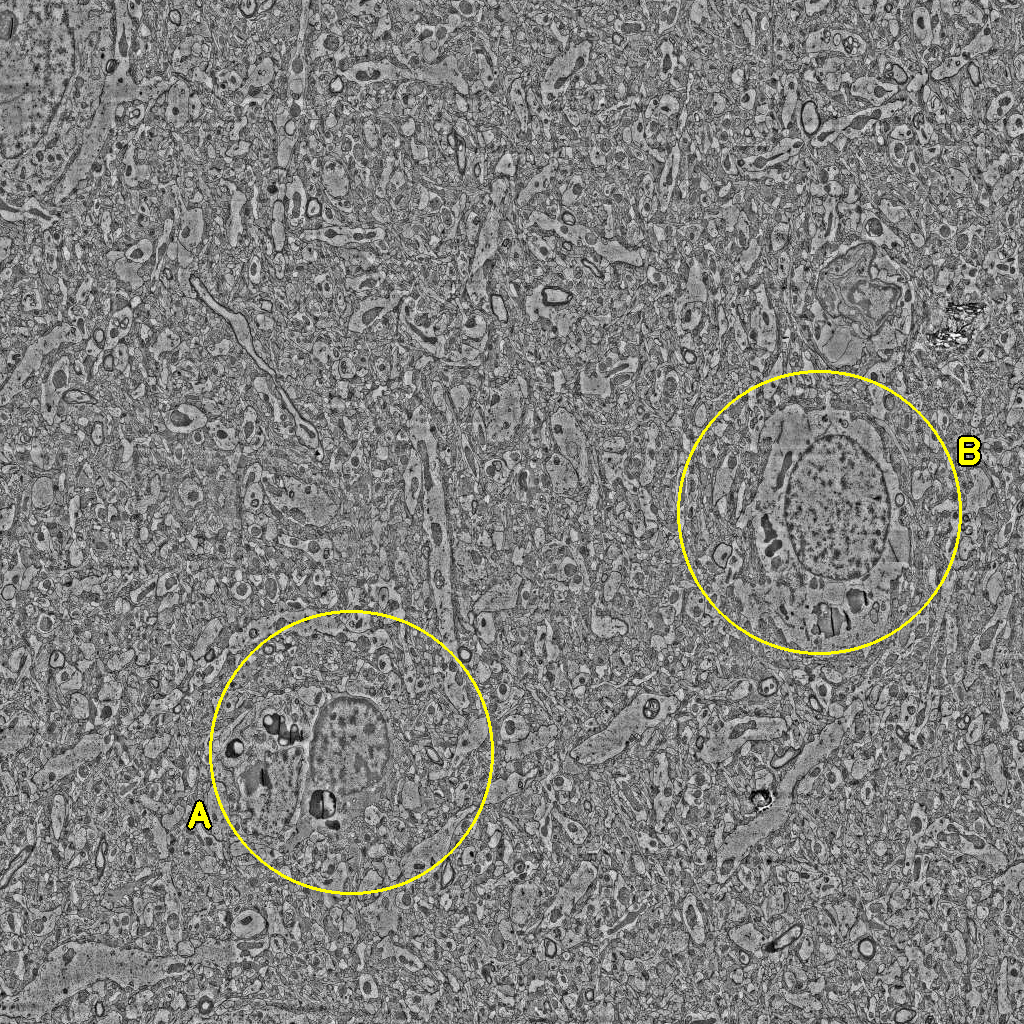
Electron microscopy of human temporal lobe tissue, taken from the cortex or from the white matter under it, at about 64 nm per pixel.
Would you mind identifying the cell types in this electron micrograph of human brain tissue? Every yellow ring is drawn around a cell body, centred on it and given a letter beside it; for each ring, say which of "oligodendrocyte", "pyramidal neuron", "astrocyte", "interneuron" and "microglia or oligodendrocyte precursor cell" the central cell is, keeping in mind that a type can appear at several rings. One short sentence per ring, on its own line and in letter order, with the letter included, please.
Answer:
At the centre of ring A lies an oligodendrocyte.
At the centre of ring B lies an astrocyte.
